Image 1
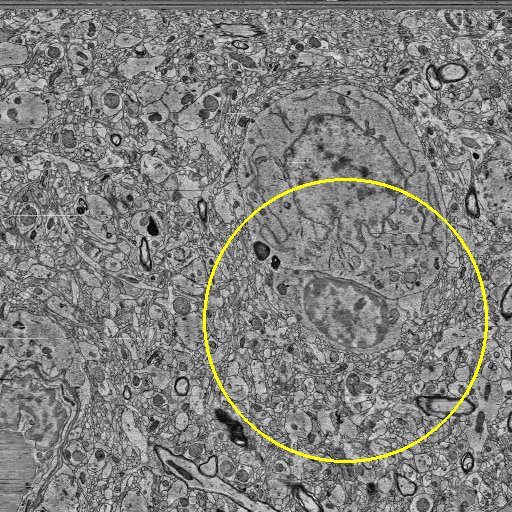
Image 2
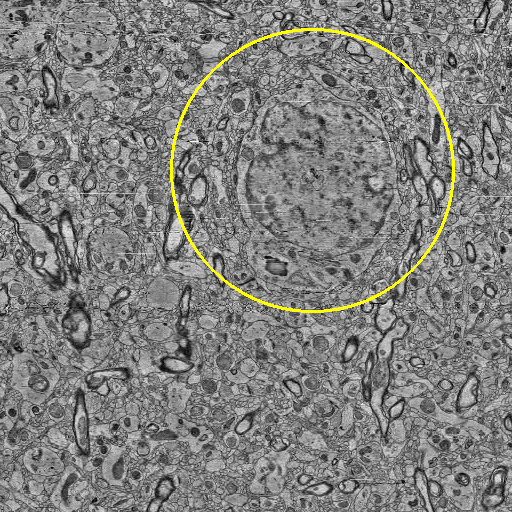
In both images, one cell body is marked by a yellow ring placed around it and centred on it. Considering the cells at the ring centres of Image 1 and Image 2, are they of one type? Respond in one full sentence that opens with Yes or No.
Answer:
No, two types apply to the ring-centred cells of Image 1 and Image 2.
